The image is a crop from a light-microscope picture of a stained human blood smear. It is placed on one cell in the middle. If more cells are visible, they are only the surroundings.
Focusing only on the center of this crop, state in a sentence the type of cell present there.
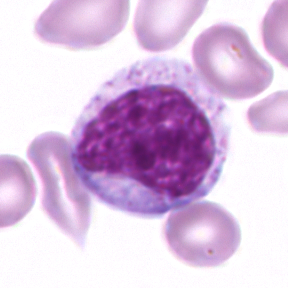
The center cell of this crop is a metamyelocyte.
